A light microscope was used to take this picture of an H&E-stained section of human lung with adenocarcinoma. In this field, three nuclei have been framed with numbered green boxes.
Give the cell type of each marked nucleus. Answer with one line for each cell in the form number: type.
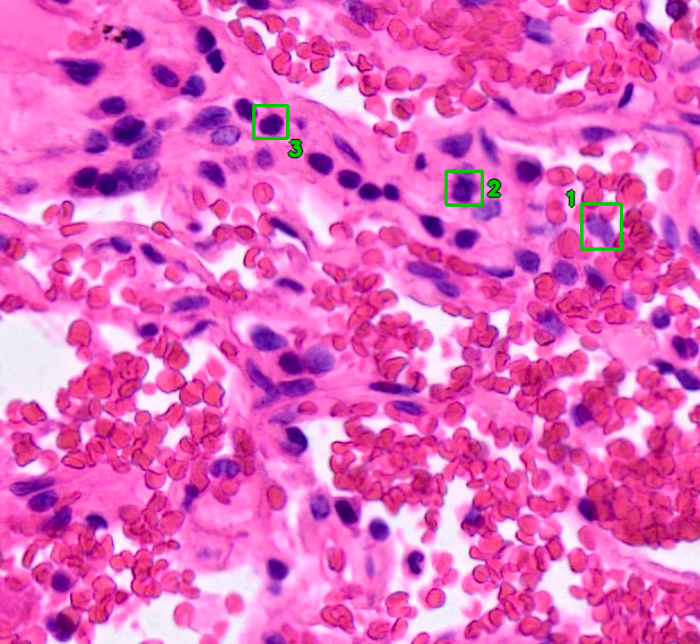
1: type I pneumocyte
2: plasma cell
3: lymphocyte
